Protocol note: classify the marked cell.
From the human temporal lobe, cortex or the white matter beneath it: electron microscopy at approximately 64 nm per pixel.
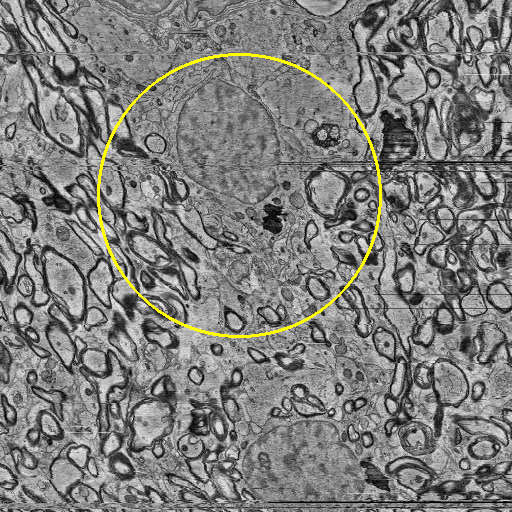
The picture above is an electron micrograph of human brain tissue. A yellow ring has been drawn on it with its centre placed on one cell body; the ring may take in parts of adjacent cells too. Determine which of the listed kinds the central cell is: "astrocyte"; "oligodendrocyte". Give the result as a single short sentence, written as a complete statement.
The central cell is an oligodendrocyte.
